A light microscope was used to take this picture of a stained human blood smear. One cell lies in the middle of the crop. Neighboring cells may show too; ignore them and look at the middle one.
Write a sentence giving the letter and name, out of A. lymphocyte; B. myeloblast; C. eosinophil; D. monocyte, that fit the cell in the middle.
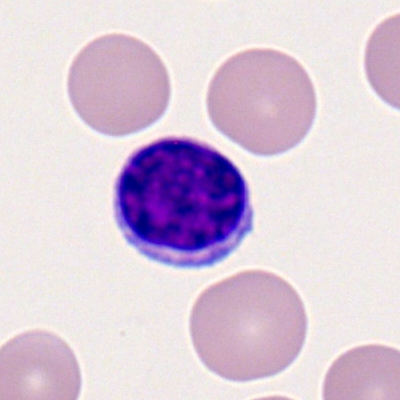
The cell placed in the middle is a lymphocyte; option A is correct.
